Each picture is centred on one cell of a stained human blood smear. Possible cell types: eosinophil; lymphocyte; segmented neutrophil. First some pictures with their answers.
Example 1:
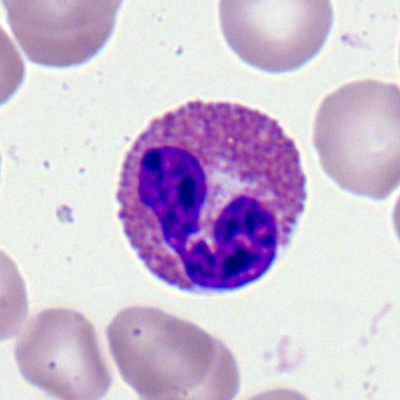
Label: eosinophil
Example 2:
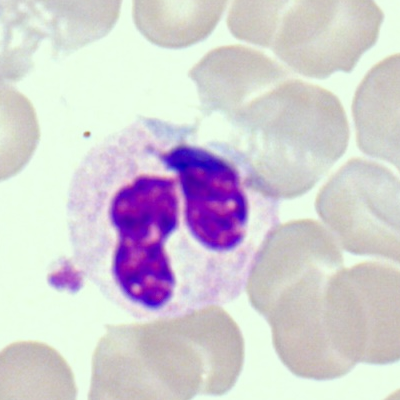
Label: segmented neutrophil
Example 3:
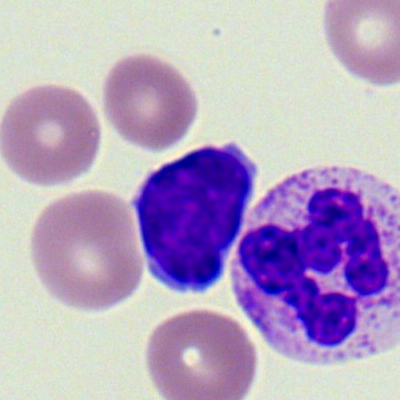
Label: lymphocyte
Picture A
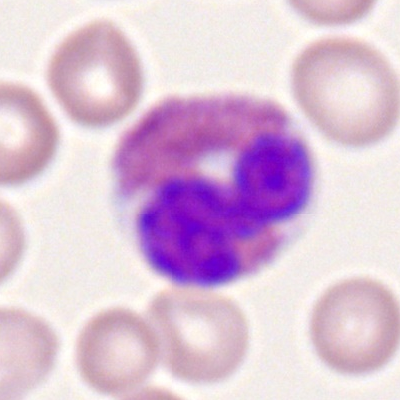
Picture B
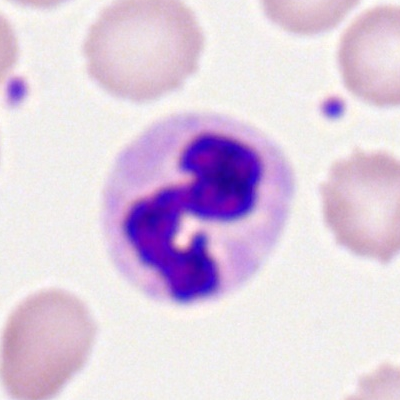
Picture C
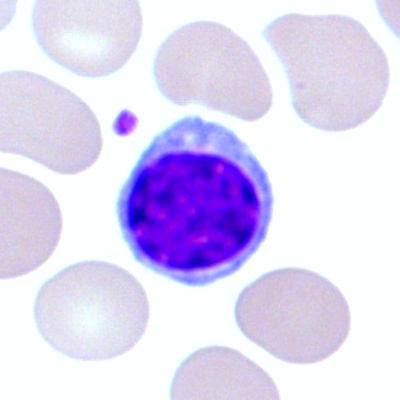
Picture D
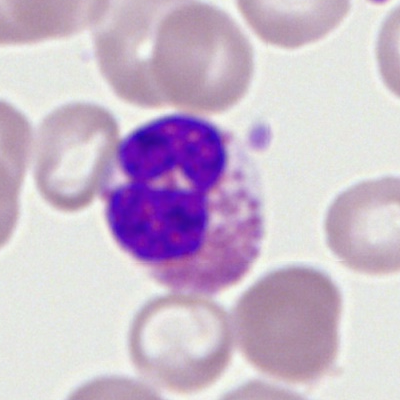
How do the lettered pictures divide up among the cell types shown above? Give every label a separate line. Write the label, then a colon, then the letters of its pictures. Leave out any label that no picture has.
eosinophil: A, D
lymphocyte: C
segmented neutrophil: B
